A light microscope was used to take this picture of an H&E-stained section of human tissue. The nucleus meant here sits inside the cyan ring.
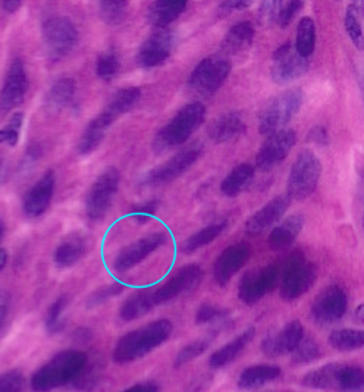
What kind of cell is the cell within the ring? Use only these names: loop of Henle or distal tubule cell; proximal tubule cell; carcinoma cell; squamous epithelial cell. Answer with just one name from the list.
squamous epithelial cell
